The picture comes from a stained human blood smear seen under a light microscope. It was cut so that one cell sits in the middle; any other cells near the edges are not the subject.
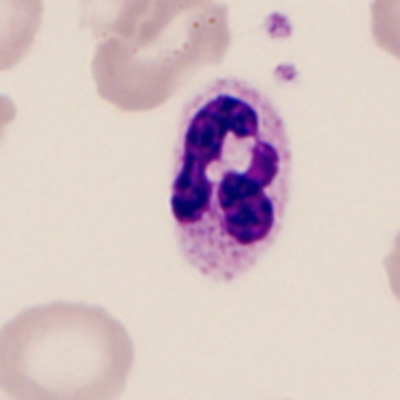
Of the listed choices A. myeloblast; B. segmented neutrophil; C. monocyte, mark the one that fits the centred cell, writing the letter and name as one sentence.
In this crop the central cell is a segmented neutrophil, which option B correctly states.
